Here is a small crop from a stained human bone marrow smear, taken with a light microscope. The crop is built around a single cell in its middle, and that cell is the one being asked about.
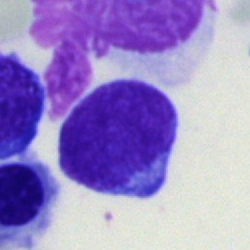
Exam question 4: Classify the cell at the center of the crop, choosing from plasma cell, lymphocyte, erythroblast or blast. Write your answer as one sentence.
In the crop, the cell of interest at the centre is a blast.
